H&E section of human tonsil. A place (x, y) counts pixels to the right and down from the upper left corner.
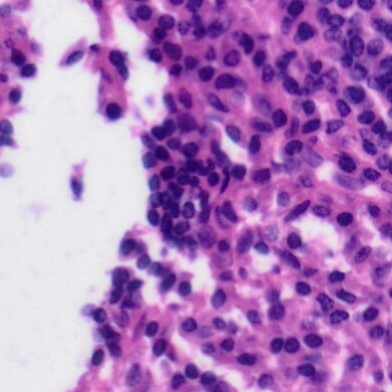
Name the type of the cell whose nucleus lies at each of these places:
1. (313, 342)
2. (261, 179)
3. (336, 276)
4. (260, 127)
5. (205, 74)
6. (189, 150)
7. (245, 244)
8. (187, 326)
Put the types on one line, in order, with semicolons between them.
plasma cell; plasma cell; plasma cell; endothelial cell; plasma cell; small lymphocyte; squamous epithelial cell; plasma cell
